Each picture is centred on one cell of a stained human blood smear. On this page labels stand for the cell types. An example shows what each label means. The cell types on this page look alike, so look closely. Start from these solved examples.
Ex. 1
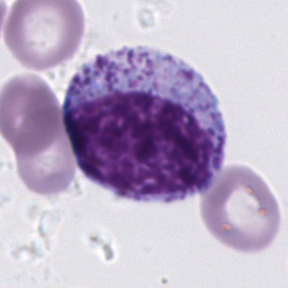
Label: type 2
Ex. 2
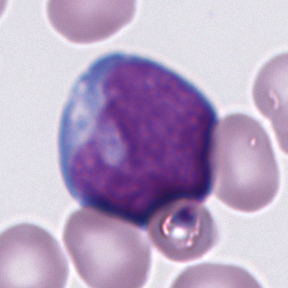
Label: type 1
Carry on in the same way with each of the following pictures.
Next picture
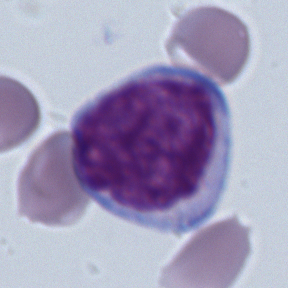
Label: type 1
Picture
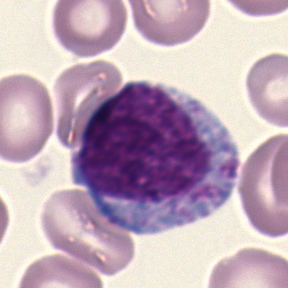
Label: type 2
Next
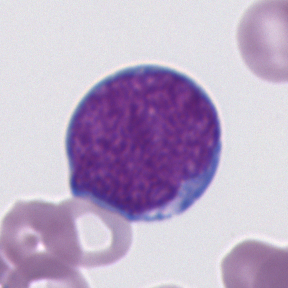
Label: type 1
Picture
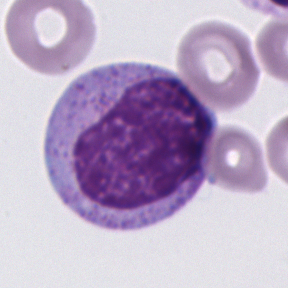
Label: type 2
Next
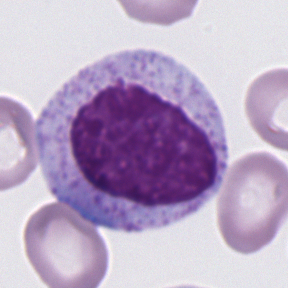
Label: type 2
